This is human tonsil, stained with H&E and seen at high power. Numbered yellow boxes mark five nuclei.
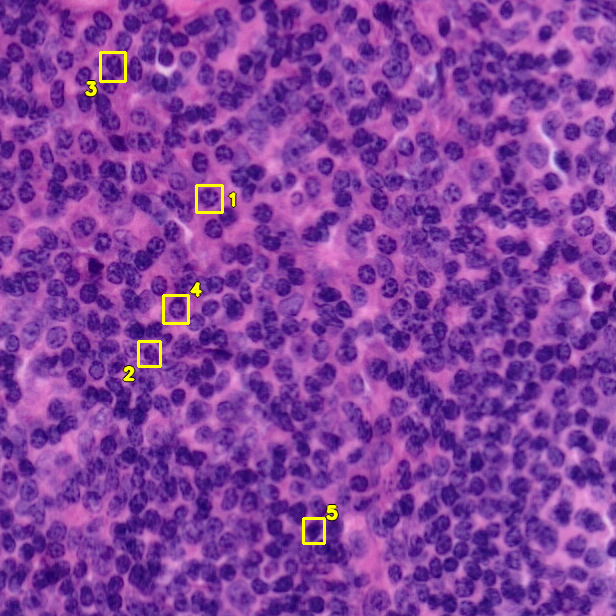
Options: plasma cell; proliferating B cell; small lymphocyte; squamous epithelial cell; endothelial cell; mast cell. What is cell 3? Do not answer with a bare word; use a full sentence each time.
The cell indicated with the number 3 is classed as a plasma cell.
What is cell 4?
Within this field of view, the cell labelled 4 is a plasma cell.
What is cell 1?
The cell pointed out as number 1 is a plasma cell.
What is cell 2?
To a small lymphocyte belongs the nucleus marked 2.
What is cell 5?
The cell identified by number 5 is a small lymphocyte.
